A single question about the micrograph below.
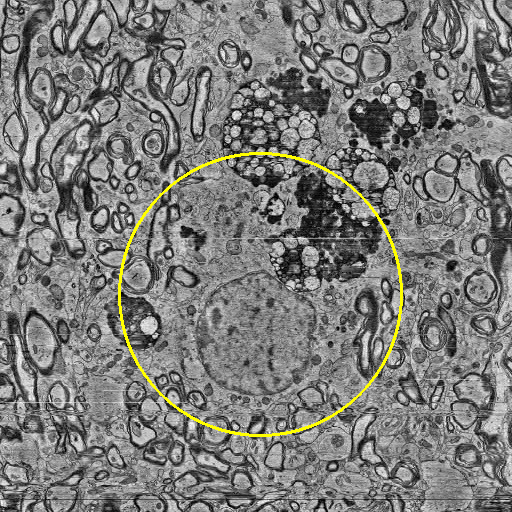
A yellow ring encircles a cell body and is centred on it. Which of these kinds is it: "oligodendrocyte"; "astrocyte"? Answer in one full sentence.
The cell body at the centre of the yellow ring belongs to an astrocyte.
